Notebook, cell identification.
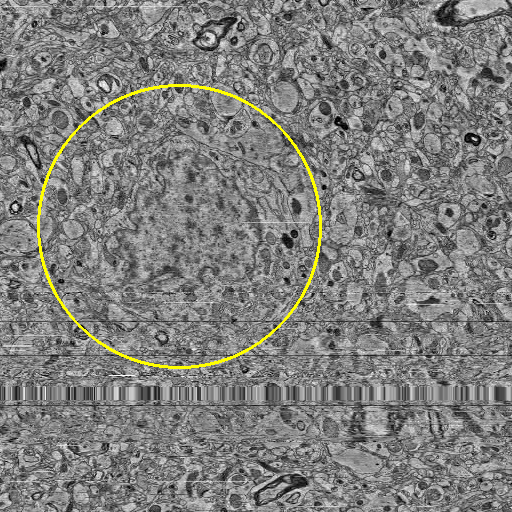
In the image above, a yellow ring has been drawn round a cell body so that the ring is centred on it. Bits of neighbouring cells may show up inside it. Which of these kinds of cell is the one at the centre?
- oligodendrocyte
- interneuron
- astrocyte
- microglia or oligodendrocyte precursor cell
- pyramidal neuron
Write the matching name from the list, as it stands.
interneuron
